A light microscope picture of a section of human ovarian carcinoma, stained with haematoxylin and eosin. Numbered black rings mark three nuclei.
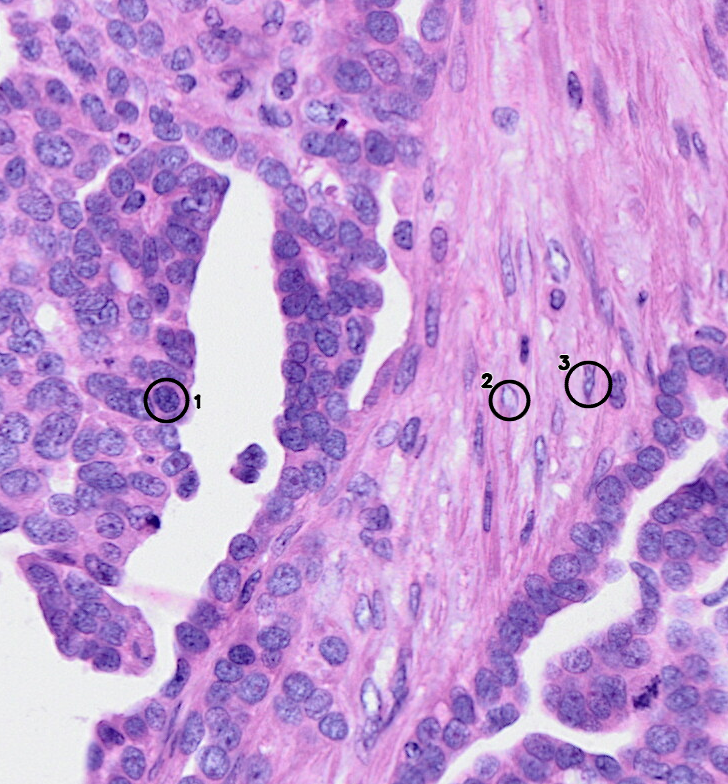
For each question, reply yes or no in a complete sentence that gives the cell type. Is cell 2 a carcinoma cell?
No, cell 2 is a fibroblast and should not be called a carcinoma cell.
